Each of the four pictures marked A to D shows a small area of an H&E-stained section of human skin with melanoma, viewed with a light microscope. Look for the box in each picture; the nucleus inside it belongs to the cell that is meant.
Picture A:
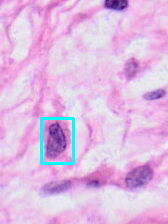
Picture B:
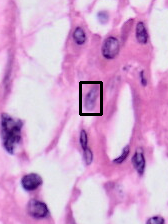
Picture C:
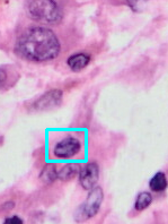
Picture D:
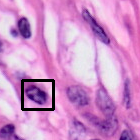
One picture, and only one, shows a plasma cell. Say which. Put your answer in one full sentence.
Picture D shows the plasma cell.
